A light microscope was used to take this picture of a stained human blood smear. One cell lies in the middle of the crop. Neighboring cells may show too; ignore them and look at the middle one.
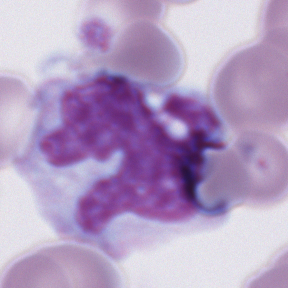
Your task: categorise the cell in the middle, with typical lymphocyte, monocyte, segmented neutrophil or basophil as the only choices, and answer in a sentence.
The identification for the central cell is a monocyte.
